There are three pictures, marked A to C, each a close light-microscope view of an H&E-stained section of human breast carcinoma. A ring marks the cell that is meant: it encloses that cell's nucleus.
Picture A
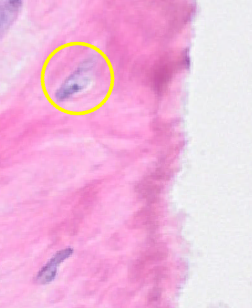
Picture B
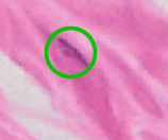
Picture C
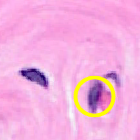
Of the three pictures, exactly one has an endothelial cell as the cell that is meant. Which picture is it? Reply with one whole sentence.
The picture with the endothelial cell is C.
